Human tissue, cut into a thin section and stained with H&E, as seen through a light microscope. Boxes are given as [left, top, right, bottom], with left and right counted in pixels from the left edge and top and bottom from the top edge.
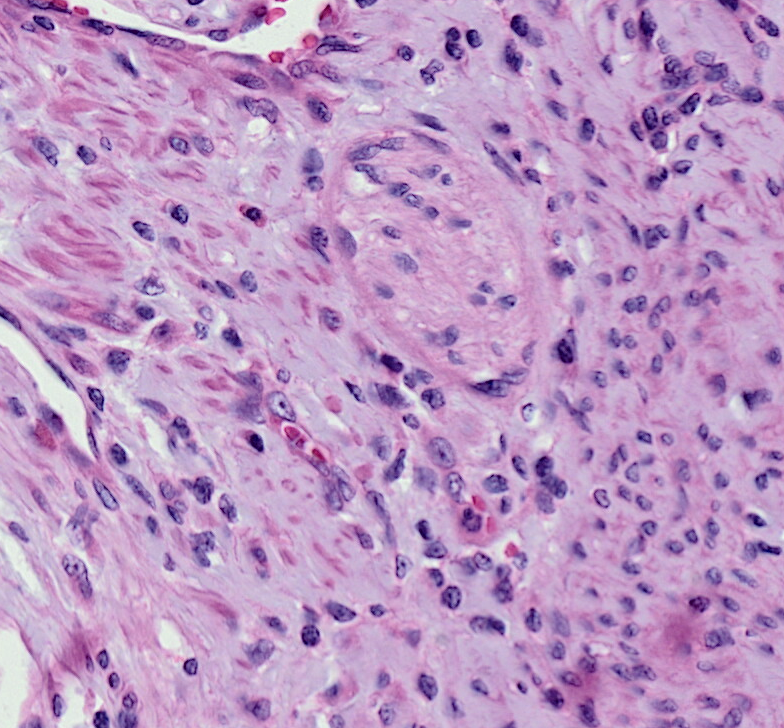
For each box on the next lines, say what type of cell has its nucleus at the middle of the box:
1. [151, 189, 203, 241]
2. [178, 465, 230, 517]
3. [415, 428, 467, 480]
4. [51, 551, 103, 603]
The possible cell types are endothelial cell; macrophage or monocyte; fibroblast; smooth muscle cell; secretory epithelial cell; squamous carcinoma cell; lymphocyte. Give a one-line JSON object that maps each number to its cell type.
{"1": "lymphocyte", "2": "lymphocyte", "3": "endothelial cell", "4": "macrophage or monocyte"}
